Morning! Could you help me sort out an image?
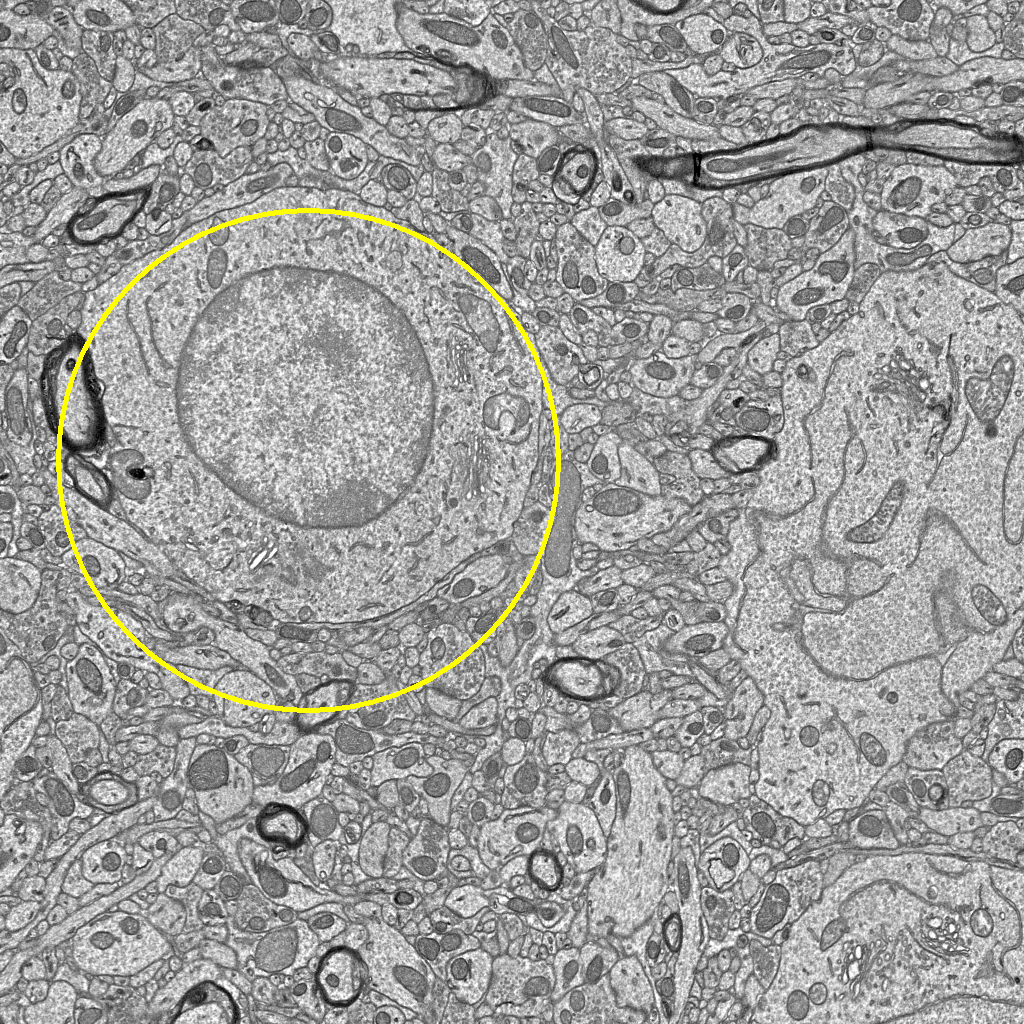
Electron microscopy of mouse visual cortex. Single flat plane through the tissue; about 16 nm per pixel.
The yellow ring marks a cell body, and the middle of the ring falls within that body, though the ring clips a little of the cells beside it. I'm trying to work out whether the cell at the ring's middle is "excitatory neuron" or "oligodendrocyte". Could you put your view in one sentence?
The cell body at the ring's middle is that of an oligodendrocyte.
